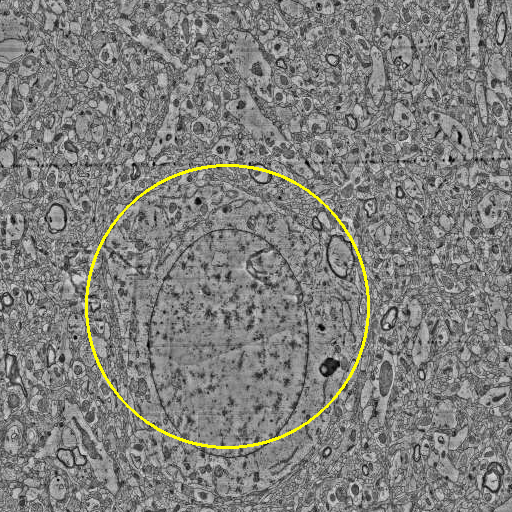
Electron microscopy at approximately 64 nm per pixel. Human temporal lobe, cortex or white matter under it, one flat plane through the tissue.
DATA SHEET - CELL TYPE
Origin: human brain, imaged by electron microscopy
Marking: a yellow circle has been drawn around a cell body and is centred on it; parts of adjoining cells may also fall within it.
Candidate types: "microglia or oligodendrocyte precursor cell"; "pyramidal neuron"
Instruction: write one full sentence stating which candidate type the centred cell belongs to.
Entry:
The cell body at the centre of the yellow ring in this micrograph belongs to a pyramidal neuron.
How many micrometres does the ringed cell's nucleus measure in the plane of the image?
The nucleus appears roughly 15 by 10 micrometres in this plane.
